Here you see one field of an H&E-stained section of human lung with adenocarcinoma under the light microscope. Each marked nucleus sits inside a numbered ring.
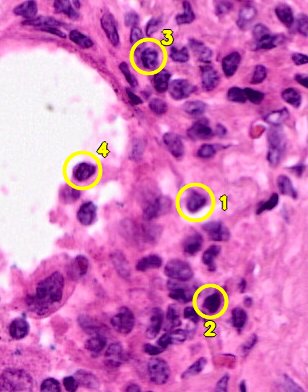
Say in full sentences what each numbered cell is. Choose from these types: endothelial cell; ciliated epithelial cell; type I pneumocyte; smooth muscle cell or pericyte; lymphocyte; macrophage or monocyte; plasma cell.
Cells 1, 3 and 4 are lymphocytes. Cell 2 is a plasma cell.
